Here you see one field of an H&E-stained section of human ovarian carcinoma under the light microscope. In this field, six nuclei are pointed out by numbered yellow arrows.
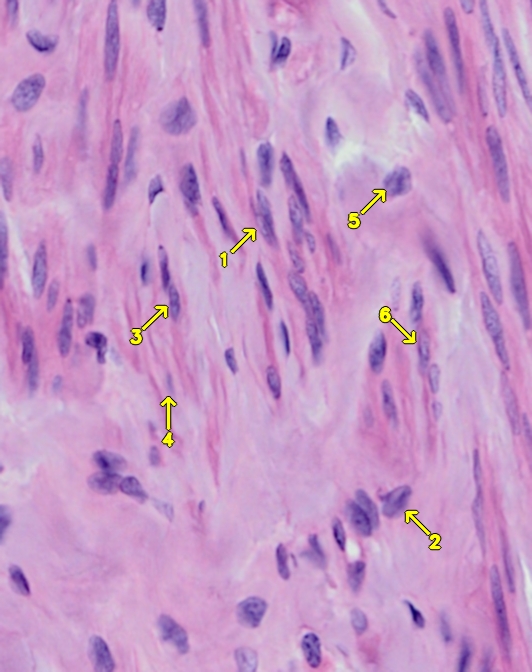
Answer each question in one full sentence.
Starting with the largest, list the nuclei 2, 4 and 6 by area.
By area, largest first, they run 2, 6, 4.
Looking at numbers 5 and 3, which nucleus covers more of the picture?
Of the two, number 5 is bigger and takes up about 2 times the area of number 3.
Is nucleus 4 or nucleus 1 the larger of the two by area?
The larger nucleus is 1, at roughly 3 times the area of 4.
